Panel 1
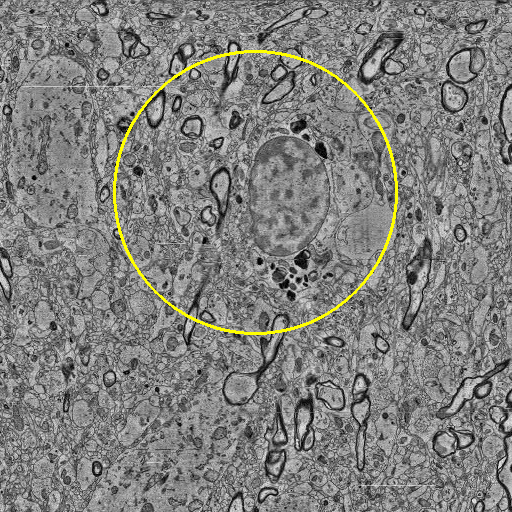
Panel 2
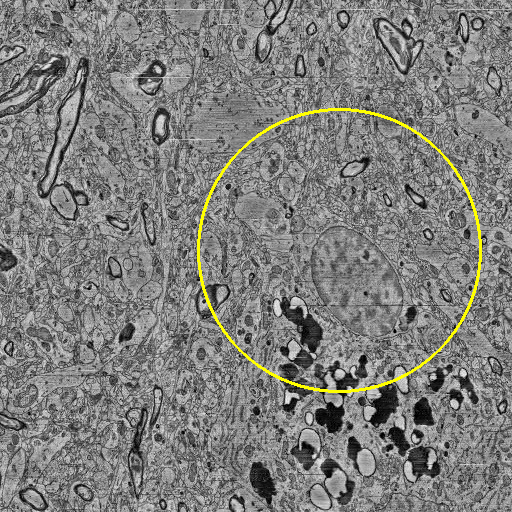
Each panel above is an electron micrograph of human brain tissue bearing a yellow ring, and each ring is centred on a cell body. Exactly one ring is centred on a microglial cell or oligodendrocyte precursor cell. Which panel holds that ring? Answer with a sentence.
That ring is in Panel 1.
